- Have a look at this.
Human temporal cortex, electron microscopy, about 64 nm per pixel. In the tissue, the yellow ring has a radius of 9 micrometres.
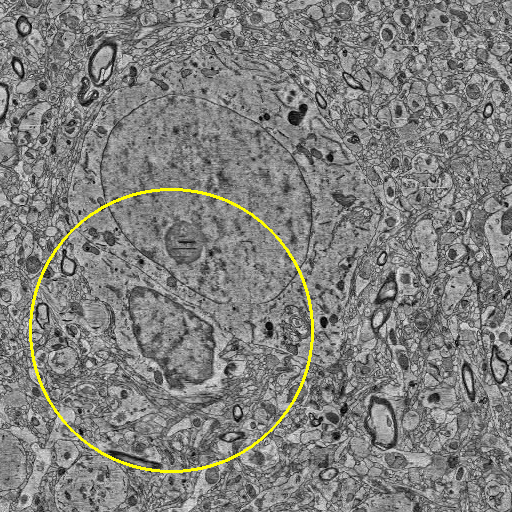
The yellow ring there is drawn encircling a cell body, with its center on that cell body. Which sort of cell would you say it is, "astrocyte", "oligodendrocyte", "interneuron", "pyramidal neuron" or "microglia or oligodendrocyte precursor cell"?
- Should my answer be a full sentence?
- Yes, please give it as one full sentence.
For this picture, a microglial cell or oligodendrocyte precursor cell is the cell where the yellow ring has its center.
